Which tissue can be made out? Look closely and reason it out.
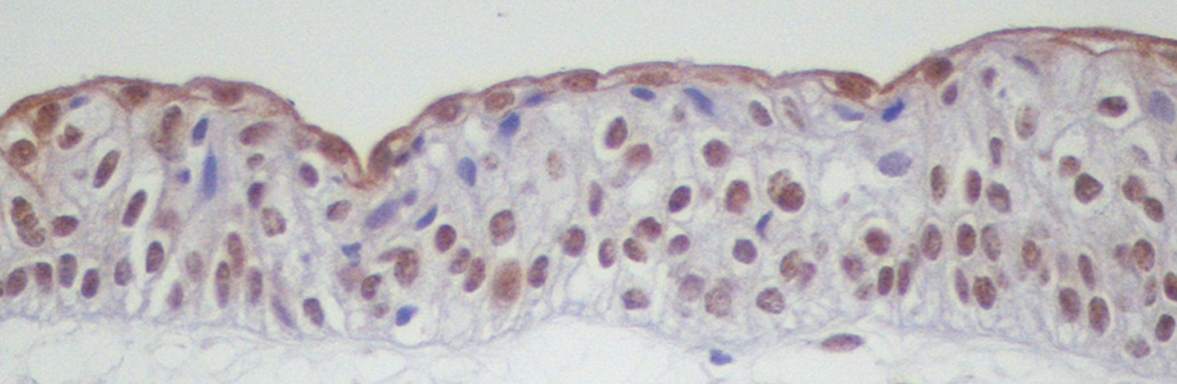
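A stratified epithelium several cells thick rests on loose underlying tissue. The surface is capped by a layer of large, flattened cells. Cells of the middle layers are rounded to polygonal with pale cytoplasm. The answer: urothelium.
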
